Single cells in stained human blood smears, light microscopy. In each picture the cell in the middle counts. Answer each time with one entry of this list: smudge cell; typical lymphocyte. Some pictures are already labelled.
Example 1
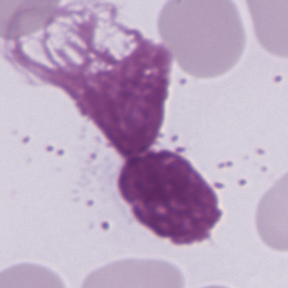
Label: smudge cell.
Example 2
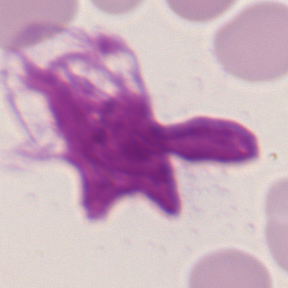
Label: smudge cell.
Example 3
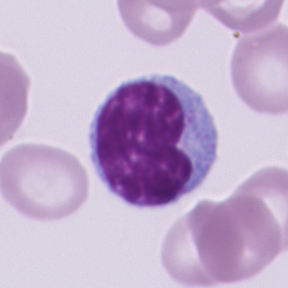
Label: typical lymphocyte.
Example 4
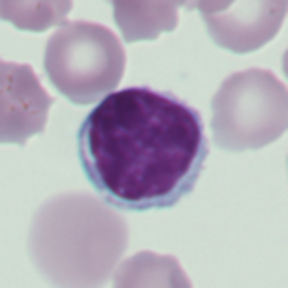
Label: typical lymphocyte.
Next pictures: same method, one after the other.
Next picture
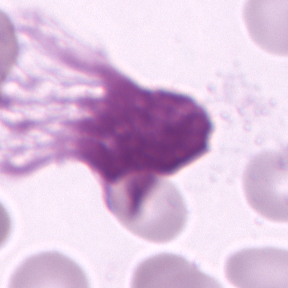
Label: smudge cell.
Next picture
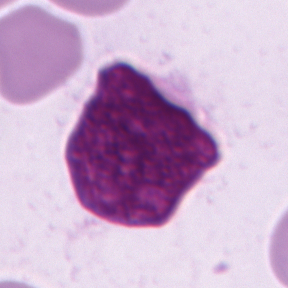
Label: smudge cell.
